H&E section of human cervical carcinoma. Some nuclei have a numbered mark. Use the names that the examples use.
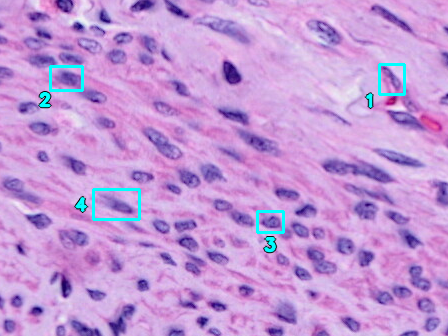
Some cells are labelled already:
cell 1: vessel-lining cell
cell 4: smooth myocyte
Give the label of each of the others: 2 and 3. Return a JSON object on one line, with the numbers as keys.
{"2": "smooth myocyte", "3": "smooth myocyte"}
